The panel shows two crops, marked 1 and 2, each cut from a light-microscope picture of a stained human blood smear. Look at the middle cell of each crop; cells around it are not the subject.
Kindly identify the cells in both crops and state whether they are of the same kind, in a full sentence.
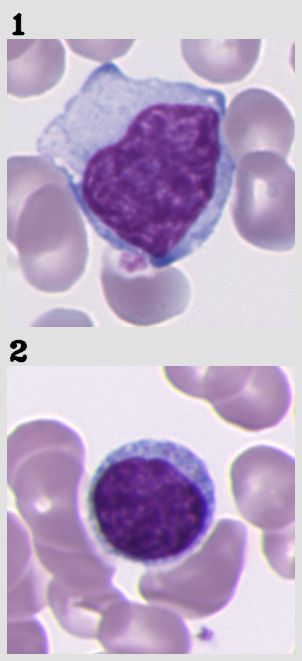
No, crop 1 is where a myeloblast is shown, and crop 2 is where a typical lymphocyte is shown.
